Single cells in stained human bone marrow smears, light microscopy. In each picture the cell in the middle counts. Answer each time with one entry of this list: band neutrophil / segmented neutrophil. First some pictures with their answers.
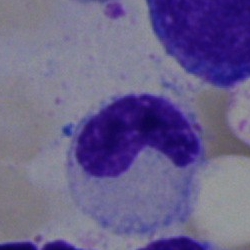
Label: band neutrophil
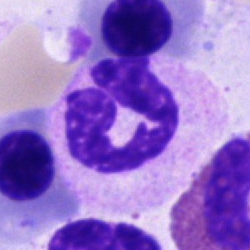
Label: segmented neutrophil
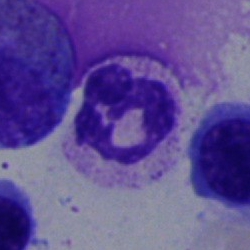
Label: segmented neutrophil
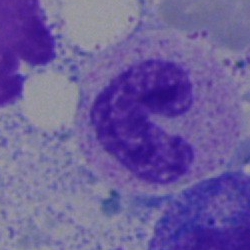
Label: band neutrophil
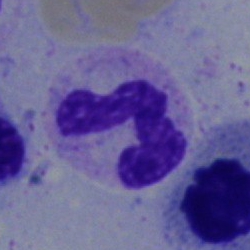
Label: segmented neutrophil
